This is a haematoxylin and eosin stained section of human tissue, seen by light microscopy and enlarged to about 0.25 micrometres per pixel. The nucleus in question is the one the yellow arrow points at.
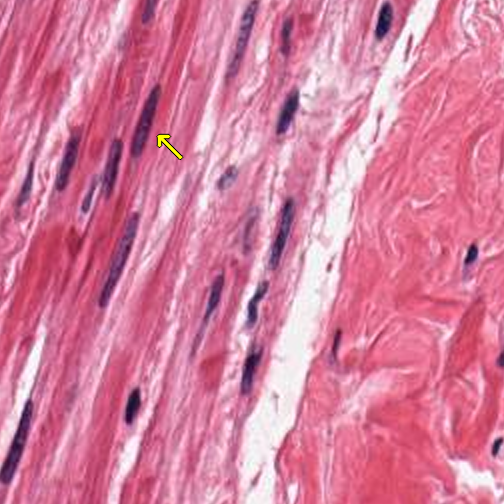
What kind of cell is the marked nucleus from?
smooth muscle cell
